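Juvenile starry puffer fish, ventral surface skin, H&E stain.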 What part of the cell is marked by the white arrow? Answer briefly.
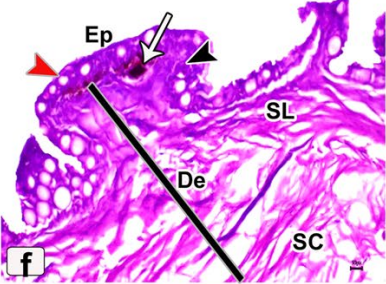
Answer: Chromatophores.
